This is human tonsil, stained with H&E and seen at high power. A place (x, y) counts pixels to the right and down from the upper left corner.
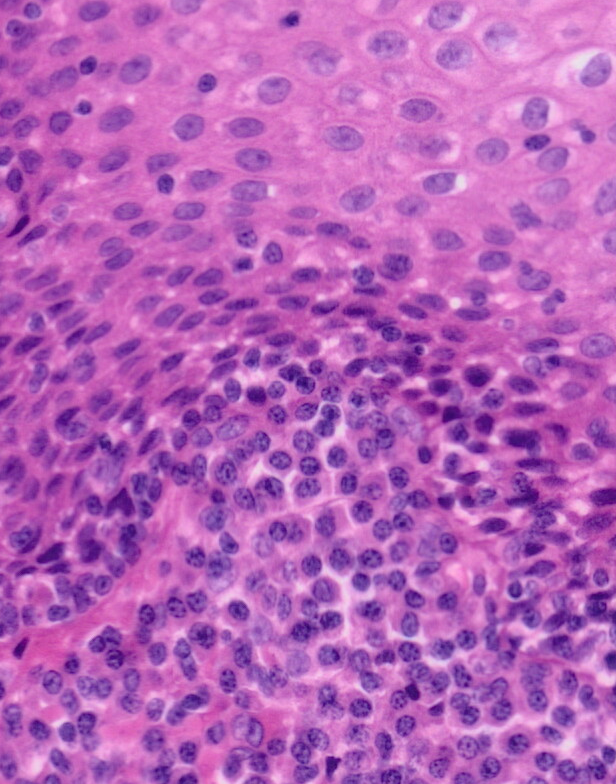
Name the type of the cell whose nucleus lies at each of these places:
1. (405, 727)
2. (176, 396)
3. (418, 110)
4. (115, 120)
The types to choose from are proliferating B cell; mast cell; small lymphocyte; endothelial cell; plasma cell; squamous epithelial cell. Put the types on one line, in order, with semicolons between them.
plasma cell; squamous epithelial cell; squamous epithelial cell; squamous epithelial cell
